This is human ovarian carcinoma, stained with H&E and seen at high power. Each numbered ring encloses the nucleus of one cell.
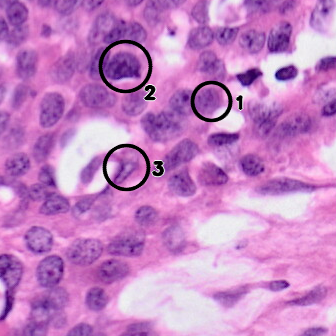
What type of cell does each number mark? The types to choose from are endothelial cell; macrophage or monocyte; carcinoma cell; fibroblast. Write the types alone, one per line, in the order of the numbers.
carcinoma cell
carcinoma cell
endothelial cell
